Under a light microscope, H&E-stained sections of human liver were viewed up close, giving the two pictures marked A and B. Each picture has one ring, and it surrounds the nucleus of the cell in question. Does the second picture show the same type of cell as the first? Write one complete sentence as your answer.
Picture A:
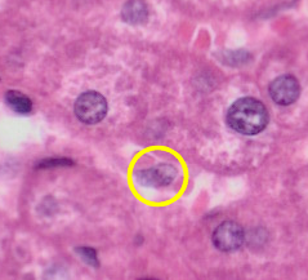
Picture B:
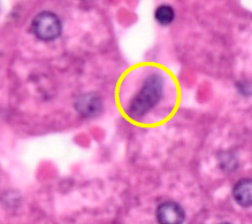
Yes, they are the same type: both are Kupffer cells.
